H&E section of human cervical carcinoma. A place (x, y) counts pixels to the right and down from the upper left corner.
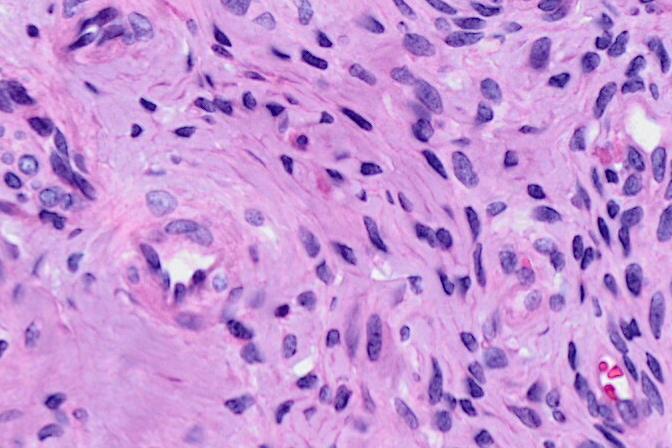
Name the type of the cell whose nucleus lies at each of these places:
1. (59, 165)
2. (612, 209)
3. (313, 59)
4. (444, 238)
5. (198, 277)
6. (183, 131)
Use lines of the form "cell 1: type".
cell 1: endothelial cell
cell 2: fibroblast
cell 3: fibroblast
cell 4: fibroblast
cell 5: endothelial cell
cell 6: fibroblast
